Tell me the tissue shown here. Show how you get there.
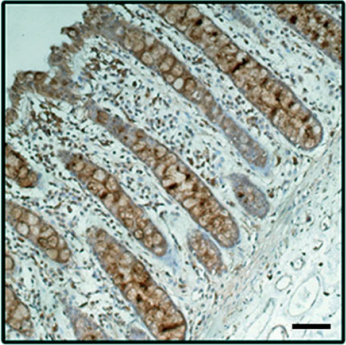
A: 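Regular parallel straight crypts lined by a single epithelial layer. Loose cellular connective tissue between the crypts.
Conclusion: normal mucosa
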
